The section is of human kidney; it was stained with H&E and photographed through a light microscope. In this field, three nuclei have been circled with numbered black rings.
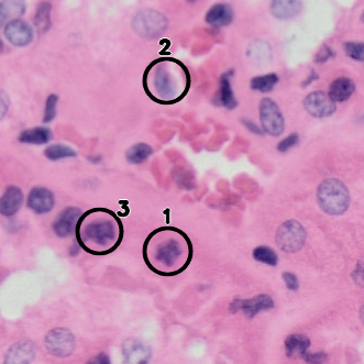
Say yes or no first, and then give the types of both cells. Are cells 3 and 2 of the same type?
No, the cell at number 3 is a proximal tubule cell, and the cell at number 2 is an endothelial cell.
